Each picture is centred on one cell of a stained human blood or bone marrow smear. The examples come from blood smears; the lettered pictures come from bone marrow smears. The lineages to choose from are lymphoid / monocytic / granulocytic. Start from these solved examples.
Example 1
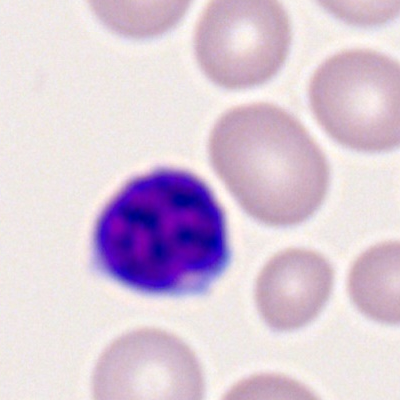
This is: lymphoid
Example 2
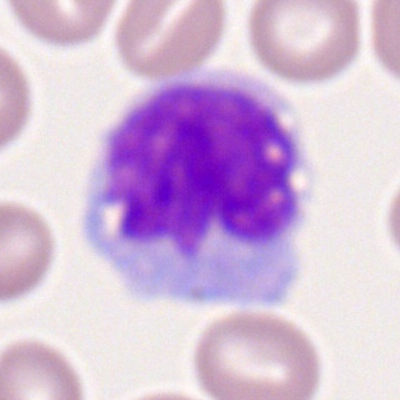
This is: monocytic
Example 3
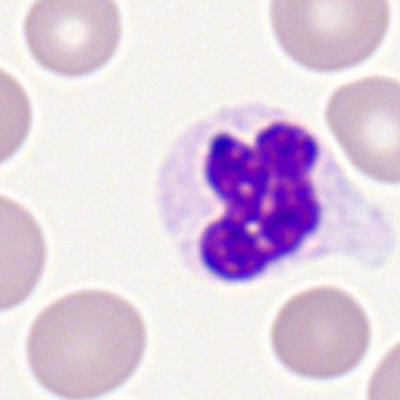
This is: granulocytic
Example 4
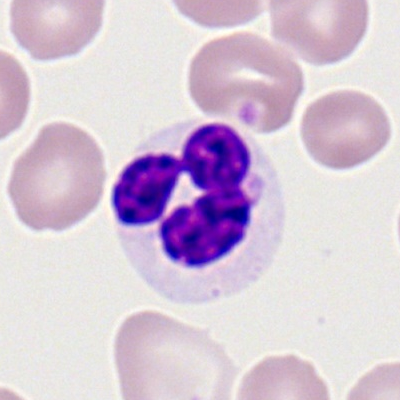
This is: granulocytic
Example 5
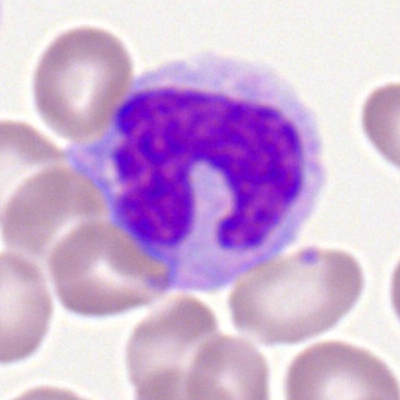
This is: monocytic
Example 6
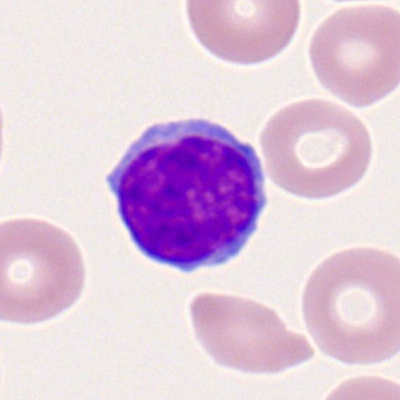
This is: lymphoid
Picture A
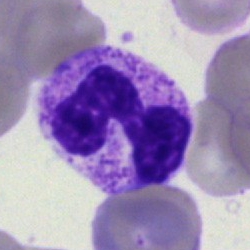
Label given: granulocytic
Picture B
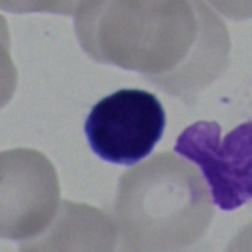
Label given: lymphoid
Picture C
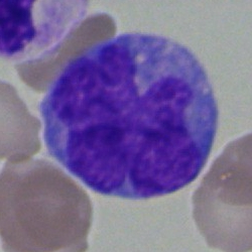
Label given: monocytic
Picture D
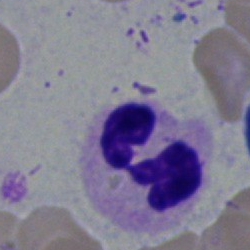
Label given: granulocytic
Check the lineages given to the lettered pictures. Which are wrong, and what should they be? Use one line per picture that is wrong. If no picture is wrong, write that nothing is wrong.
None of the labels needs changing.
